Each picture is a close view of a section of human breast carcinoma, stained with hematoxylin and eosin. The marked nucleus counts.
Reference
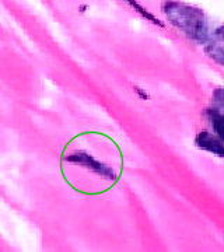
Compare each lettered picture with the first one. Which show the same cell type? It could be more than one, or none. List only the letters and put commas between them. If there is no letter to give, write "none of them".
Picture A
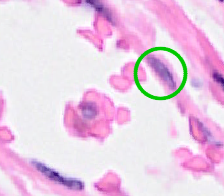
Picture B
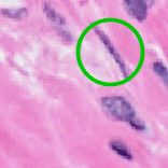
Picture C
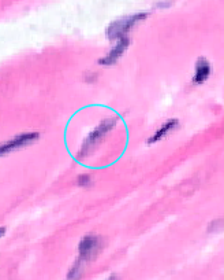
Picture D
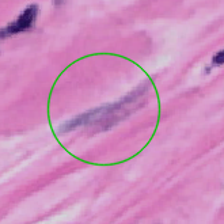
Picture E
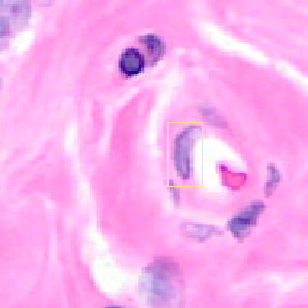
B, C, D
